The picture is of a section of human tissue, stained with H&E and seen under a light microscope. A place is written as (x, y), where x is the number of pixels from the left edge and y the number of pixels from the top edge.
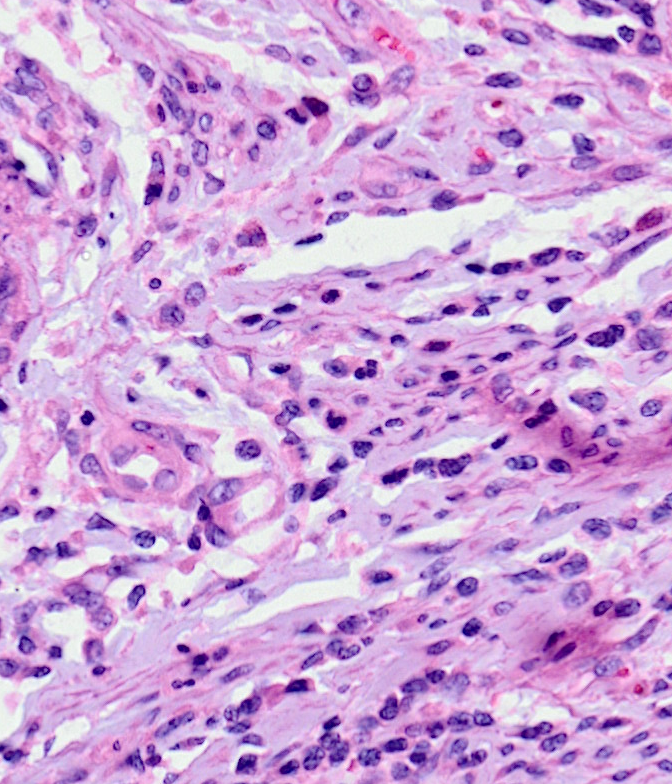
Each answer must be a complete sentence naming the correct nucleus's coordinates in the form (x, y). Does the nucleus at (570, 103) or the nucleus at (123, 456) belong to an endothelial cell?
Of the two, the nucleus at (123, 456) is the one contained in an endothelial cell.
